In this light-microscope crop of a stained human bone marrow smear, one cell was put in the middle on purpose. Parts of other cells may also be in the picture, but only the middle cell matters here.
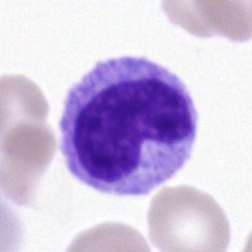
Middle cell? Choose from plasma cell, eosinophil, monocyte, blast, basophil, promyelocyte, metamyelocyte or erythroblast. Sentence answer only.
Here the cell in the middle is a metamyelocyte.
